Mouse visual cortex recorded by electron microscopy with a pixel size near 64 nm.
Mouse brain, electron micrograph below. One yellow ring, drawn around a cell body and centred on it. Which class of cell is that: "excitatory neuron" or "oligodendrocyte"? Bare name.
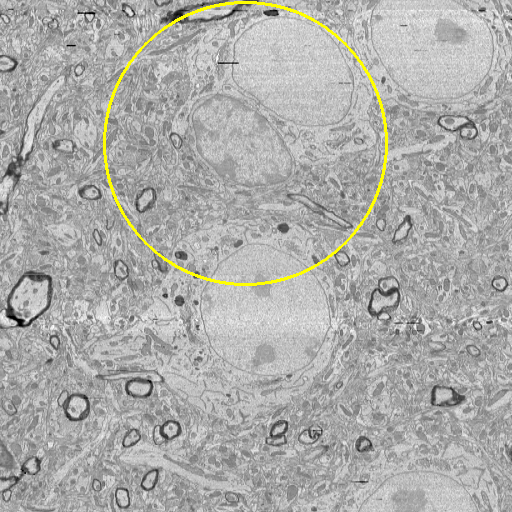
oligodendrocyte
